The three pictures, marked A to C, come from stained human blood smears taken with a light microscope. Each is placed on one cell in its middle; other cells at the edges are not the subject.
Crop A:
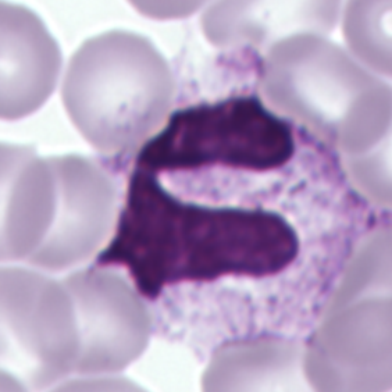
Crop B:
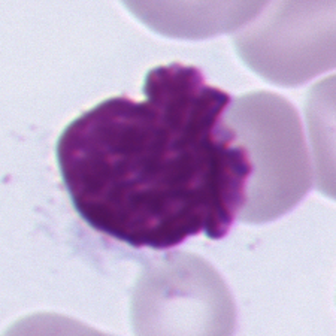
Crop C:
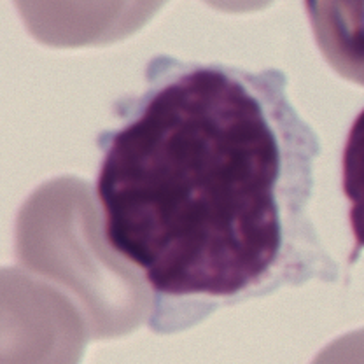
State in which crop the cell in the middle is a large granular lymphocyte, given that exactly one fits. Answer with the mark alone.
C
